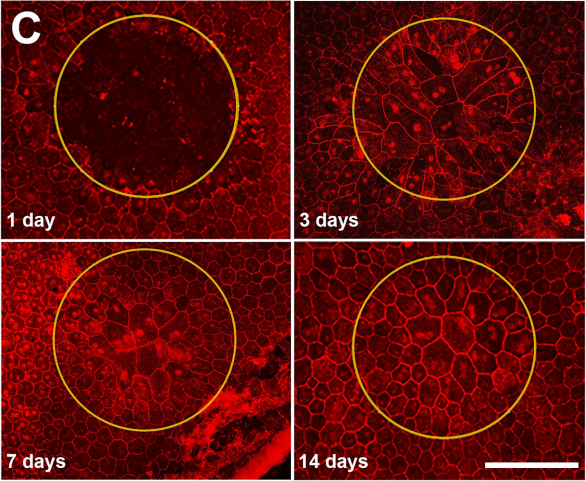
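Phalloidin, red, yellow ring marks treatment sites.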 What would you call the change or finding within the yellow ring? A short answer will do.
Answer: Selective ablation of the monolayer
